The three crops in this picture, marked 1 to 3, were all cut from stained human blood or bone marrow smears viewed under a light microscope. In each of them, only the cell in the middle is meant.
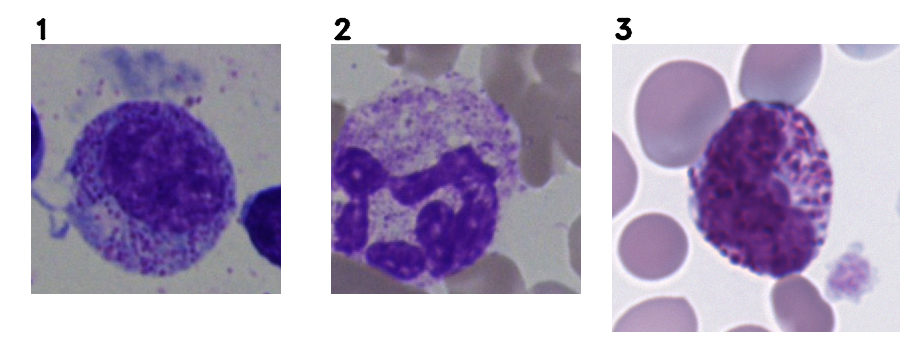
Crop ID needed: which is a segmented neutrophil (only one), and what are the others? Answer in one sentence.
It is a segmented neutrophil that crop 2 shows, while crop 1 is a myelocyte and crop 3 is a basophil.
